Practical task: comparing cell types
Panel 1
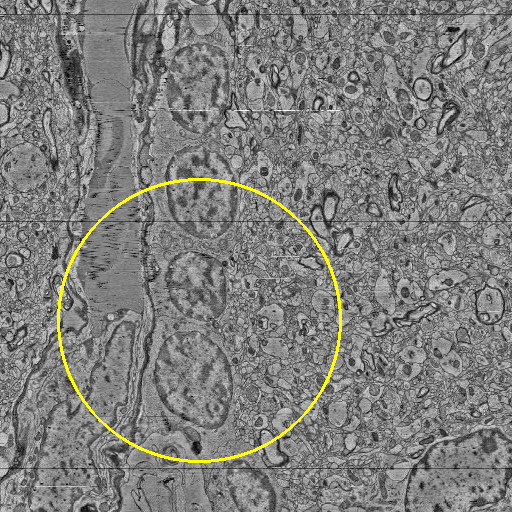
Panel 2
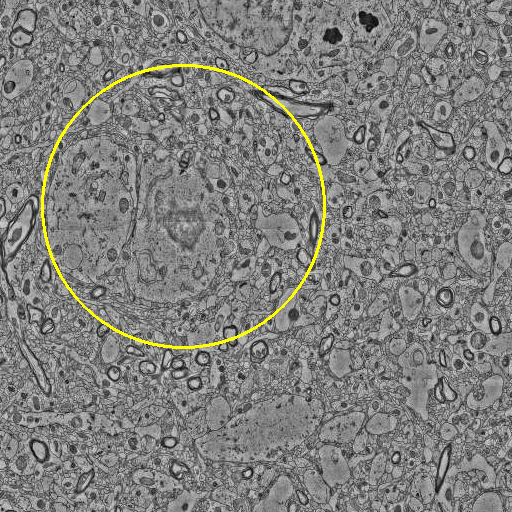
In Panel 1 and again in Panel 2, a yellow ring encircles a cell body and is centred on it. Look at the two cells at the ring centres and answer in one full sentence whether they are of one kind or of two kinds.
The two cells sitting at the ring centres of Panels 1 and 2 are of two kinds.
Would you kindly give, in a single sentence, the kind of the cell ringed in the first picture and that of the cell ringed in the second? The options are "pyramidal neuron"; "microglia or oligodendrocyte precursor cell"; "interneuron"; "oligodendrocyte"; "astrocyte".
The second cell is an interneuron, and the first cell is an oligodendrocyte.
